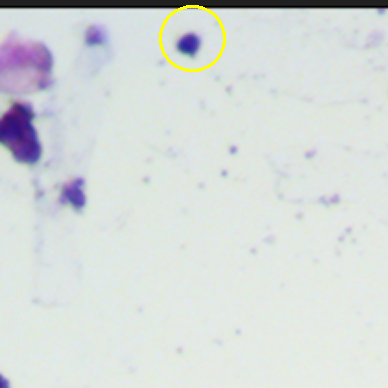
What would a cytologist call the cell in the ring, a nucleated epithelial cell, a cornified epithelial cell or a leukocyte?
A cytologist would call it a leukocyte.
